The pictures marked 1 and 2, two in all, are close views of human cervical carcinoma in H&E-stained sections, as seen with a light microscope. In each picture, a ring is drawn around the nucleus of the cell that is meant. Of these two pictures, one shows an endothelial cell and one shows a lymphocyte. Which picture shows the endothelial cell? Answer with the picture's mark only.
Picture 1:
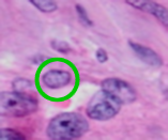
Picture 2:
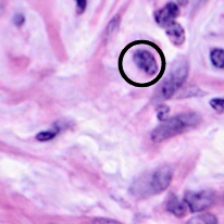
1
